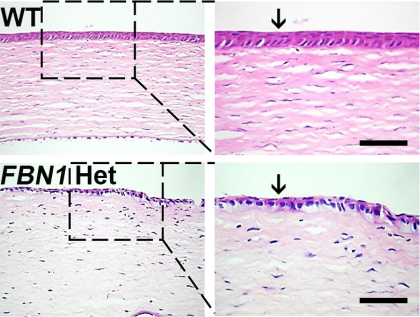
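Sections of cornea stained with hematoxylin and eosin, each shown at low magnification with a boxed region enlarged beside it. A continuous epithelial layer with purple nuclei covers the outer surface, lying on a thick, pale pink stroma of parallel lamellae in which scattered flattened keratocyte nuclei lie between the collagen sheets. In the upper pair the epithelium forms a regular band several cells thick, while in the lower pair it is thinner and more irregular.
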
